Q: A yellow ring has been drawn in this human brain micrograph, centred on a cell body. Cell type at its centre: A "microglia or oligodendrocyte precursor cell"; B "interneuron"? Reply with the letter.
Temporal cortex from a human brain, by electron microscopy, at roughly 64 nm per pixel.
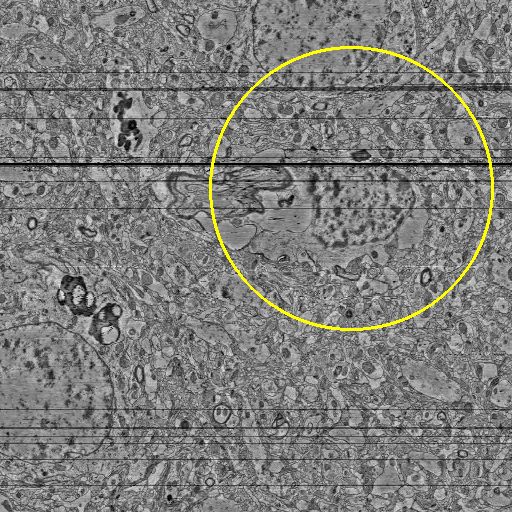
A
